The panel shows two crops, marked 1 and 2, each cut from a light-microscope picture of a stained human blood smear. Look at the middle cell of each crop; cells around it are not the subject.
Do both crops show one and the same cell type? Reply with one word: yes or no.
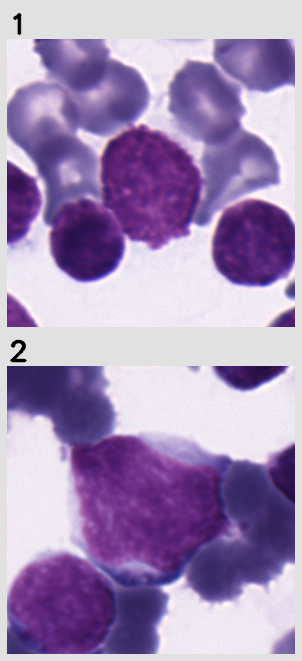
yes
